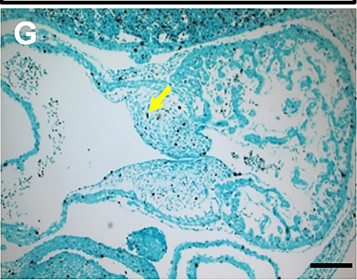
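Scattered among the blue-green nuclei are a few intensely dark, brown-black stained nuclei, some within the swellings. Outside the heart, densely packed tissue at the top of the image contains many more of these dark nuclei.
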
